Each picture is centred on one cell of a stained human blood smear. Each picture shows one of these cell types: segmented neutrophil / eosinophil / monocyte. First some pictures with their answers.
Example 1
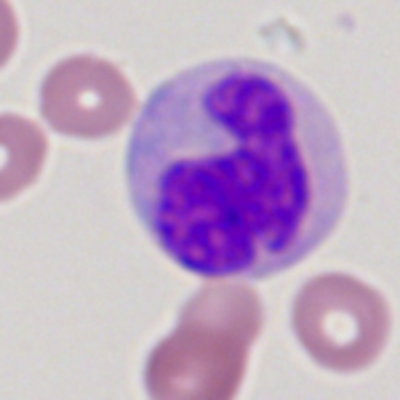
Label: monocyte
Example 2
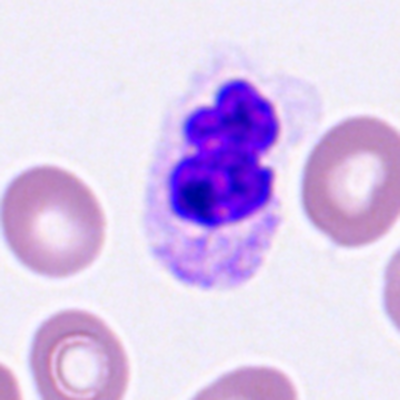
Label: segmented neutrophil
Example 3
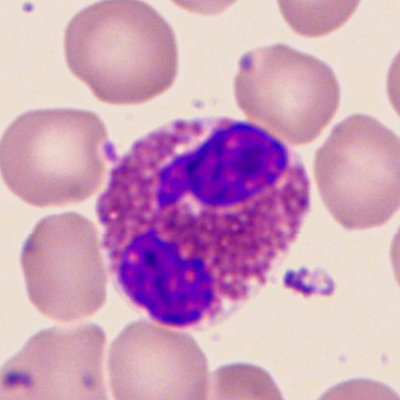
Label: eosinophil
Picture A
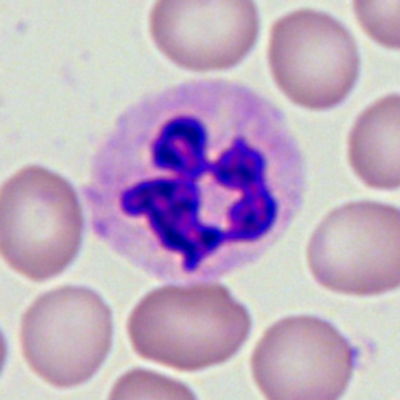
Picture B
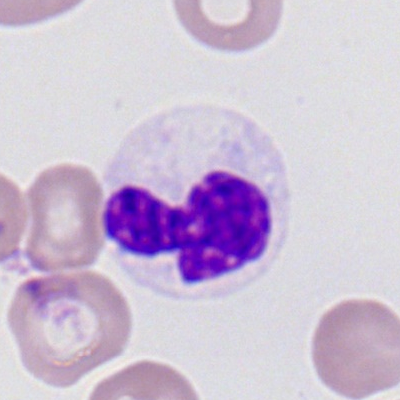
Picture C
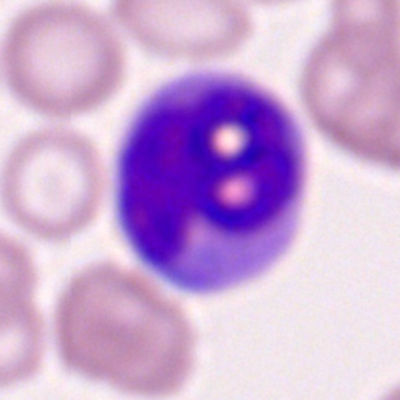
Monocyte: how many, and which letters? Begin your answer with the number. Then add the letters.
1: C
